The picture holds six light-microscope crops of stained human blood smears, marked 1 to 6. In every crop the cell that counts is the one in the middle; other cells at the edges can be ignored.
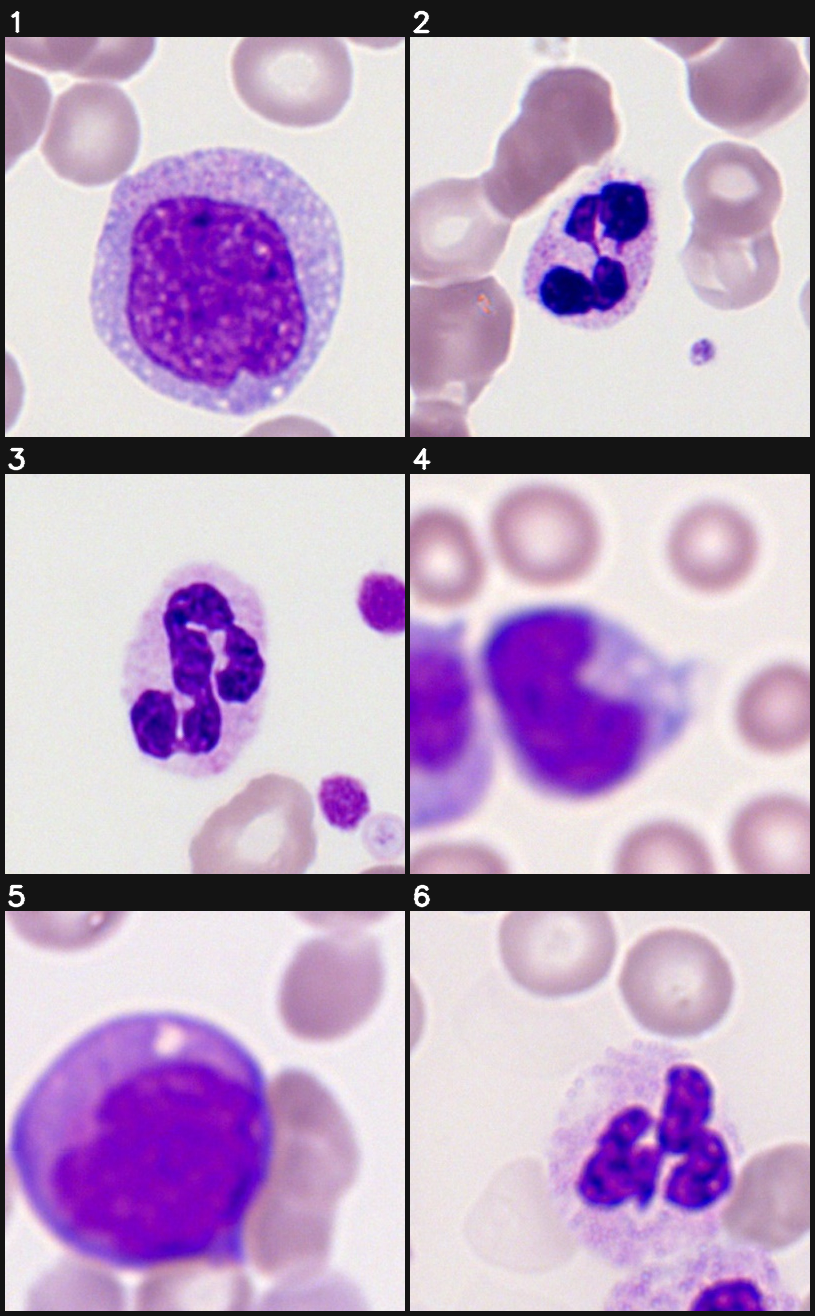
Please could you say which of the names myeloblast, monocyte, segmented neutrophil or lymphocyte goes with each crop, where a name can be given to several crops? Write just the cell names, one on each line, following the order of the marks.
monocyte
segmented neutrophil
segmented neutrophil
monocyte
myeloblast
segmented neutrophil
